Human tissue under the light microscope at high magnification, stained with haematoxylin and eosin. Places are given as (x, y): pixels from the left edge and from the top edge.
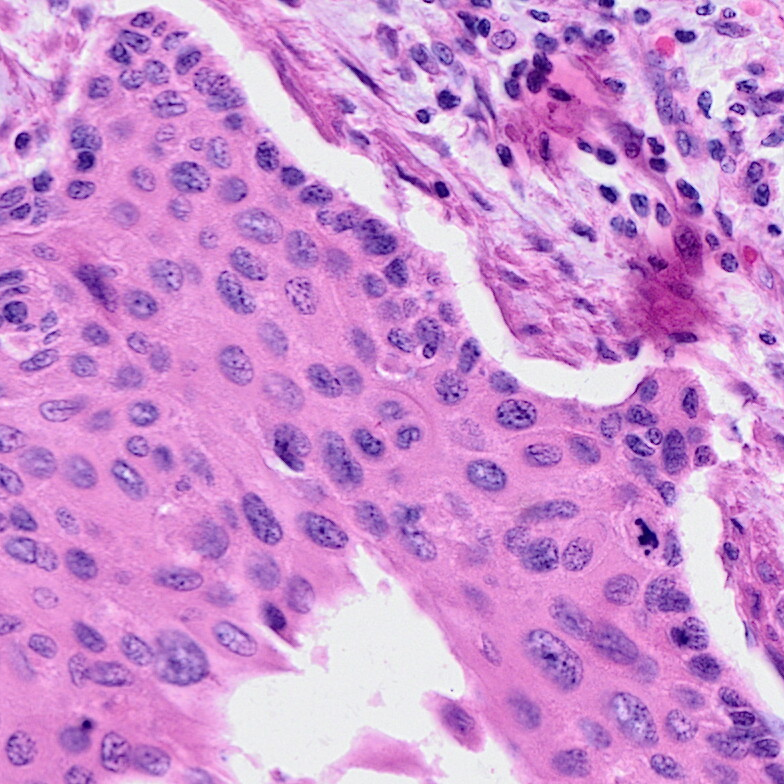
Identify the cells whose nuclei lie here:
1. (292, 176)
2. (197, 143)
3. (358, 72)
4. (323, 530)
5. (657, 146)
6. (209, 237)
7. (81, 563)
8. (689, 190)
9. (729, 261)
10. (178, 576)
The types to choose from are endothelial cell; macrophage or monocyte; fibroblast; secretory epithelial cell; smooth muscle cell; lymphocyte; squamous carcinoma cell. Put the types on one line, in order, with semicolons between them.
squamous carcinoma cell; squamous carcinoma cell; fibroblast; squamous carcinoma cell; lymphocyte; squamous carcinoma cell; squamous carcinoma cell; lymphocyte; lymphocyte; squamous carcinoma cell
